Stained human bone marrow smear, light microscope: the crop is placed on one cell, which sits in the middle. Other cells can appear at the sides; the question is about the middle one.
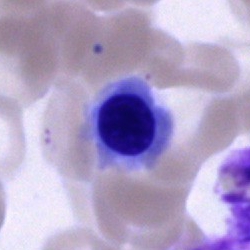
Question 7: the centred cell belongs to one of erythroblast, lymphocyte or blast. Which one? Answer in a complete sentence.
Answering briefly, the cell in the middle is an erythroblast.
